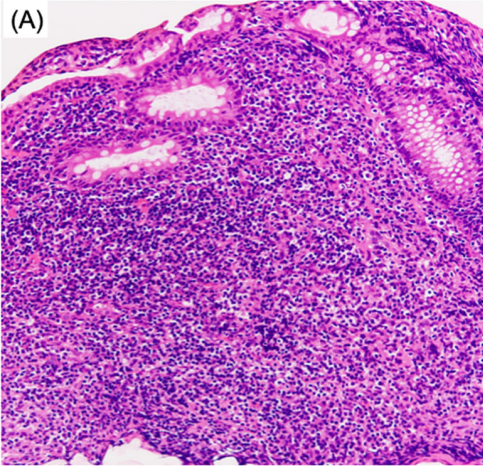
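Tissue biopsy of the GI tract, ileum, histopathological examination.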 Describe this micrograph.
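Ileal mucosa with a few crypts, lined by epithelium rich in goblet cells, near the surface. The lamina propria below is filled by a dense, diffuse infiltrate of small dark lymphoid cells that surrounds the crypts and replaces the normal mucosal architecture.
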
